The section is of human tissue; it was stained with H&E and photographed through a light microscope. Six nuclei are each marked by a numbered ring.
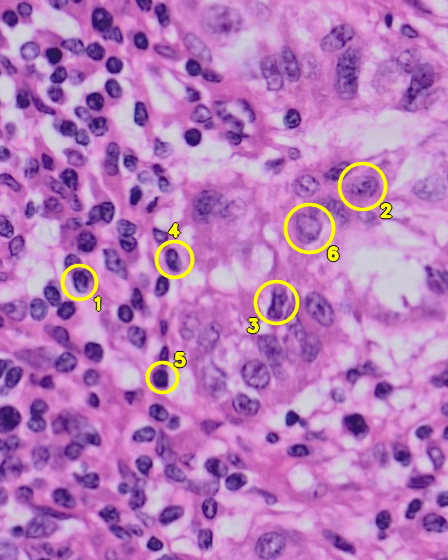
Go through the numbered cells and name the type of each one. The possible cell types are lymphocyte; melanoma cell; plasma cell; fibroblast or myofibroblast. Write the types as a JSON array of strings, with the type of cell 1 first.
["lymphocyte", "melanoma cell", "melanoma cell", "lymphocyte", "lymphocyte", "melanoma cell"]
